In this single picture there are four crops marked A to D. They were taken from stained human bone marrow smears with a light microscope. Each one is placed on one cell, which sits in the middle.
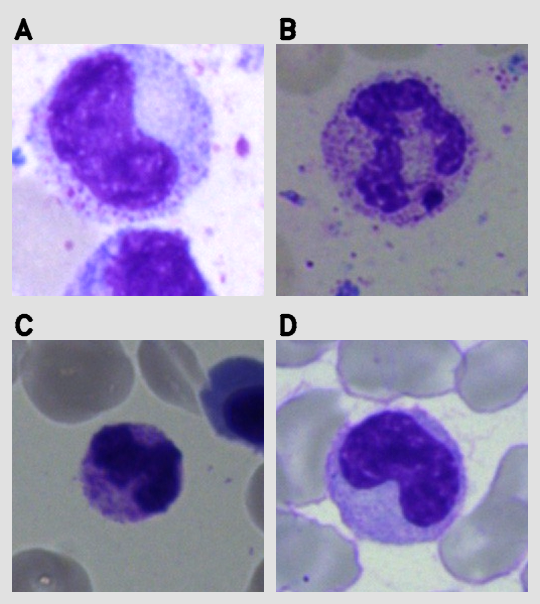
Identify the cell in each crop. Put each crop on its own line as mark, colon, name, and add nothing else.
A: metamyelocyte
B: segmented neutrophil
C: segmented neutrophil
D: metamyelocyte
